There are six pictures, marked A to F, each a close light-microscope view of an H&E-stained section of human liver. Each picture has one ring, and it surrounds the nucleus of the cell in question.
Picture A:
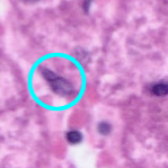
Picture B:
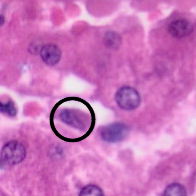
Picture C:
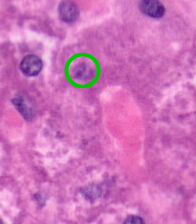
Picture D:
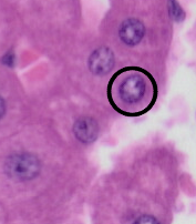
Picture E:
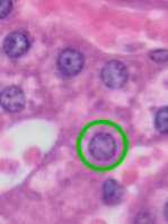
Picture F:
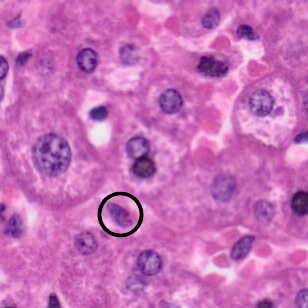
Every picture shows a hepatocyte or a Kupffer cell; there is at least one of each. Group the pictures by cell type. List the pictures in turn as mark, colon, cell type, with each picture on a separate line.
A: Kupffer cell
B: Kupffer cell
C: hepatocyte
D: hepatocyte
E: hepatocyte
F: Kupffer cell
